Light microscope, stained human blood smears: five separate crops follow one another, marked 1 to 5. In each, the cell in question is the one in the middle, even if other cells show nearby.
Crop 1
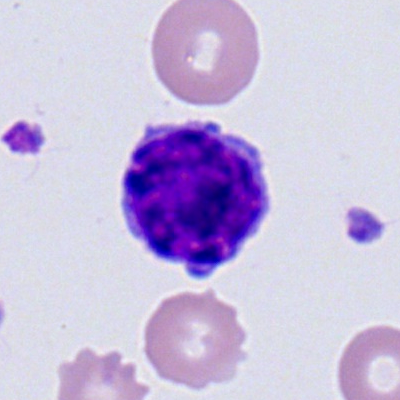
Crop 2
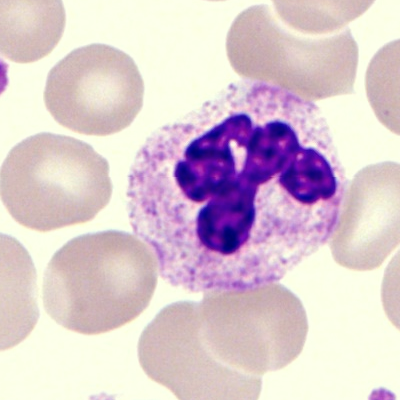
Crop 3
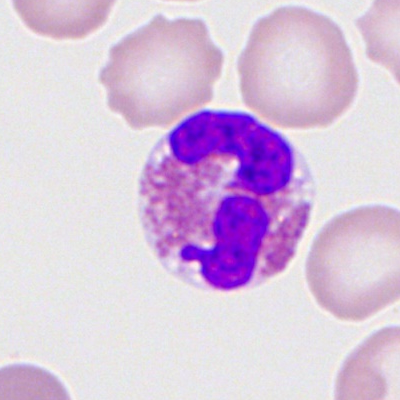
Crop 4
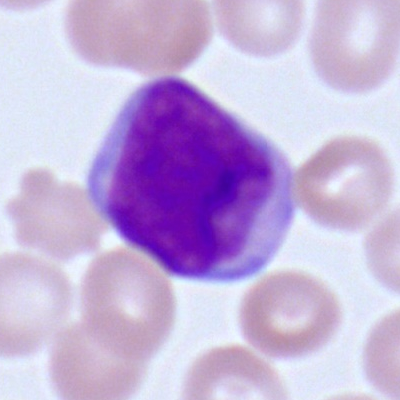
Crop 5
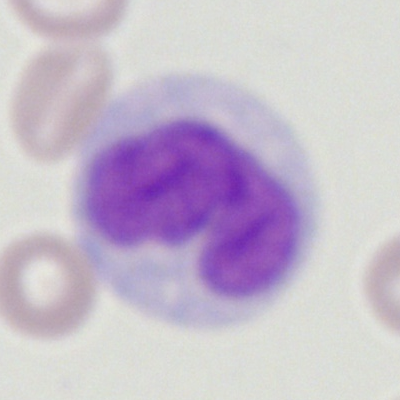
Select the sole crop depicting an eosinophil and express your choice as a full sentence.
Of the cells presented, the one in crop 3 is an eosinophil.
